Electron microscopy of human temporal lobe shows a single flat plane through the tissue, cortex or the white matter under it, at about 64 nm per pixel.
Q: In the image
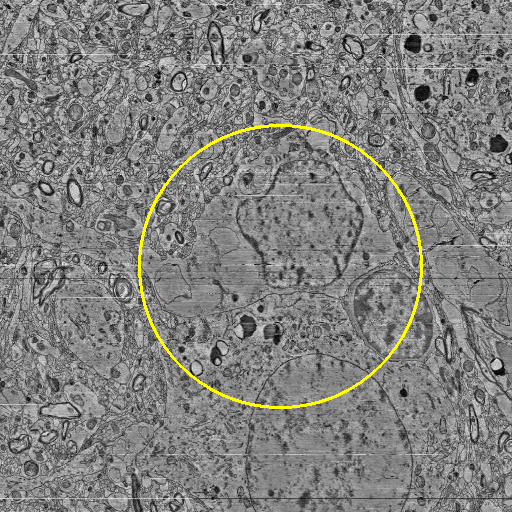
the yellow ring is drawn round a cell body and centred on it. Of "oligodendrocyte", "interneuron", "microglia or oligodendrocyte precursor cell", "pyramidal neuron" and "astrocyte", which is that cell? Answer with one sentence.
The cell centred in the ring is an astrocyte.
